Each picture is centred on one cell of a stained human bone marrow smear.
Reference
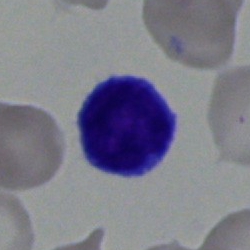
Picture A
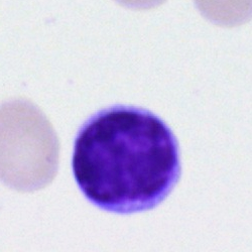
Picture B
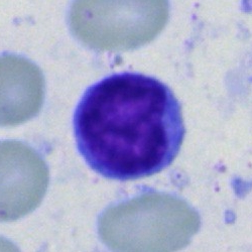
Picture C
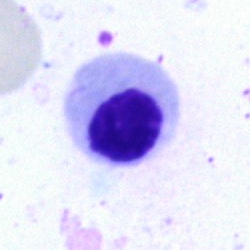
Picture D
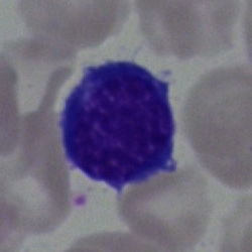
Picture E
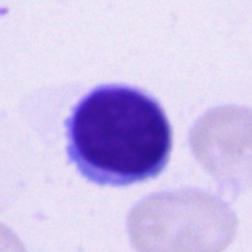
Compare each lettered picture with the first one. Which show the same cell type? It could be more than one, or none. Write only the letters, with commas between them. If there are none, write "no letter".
A, B, D, E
